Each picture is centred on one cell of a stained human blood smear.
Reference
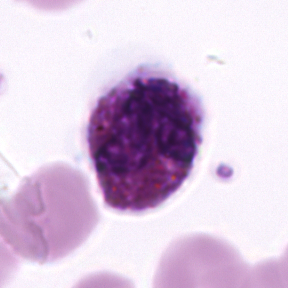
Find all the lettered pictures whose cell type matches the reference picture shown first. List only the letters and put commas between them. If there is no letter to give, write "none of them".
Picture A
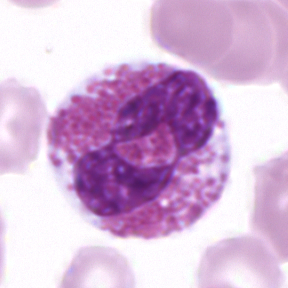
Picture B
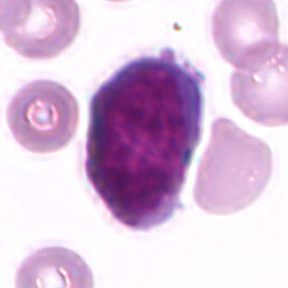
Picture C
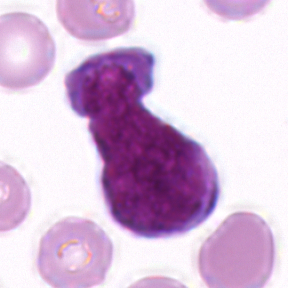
A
